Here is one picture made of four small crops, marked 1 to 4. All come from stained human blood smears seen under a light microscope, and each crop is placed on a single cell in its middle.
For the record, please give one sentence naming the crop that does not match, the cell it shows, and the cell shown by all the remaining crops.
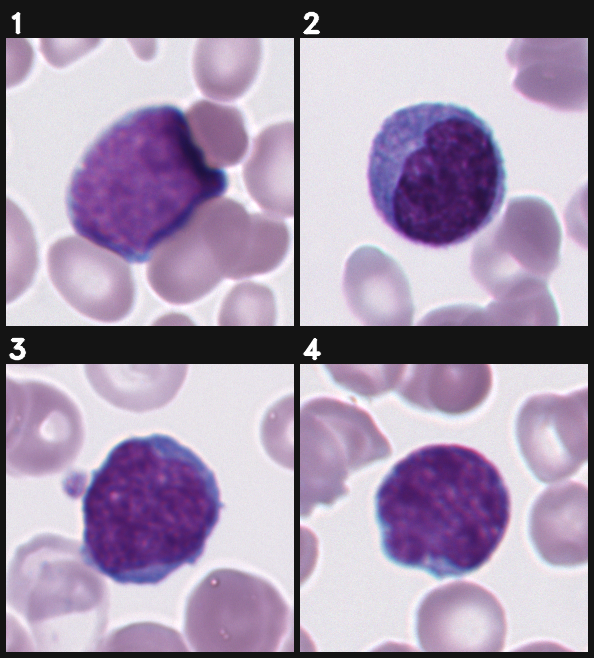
Crop 2 is a monocyte, and the other crops all show blasts.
